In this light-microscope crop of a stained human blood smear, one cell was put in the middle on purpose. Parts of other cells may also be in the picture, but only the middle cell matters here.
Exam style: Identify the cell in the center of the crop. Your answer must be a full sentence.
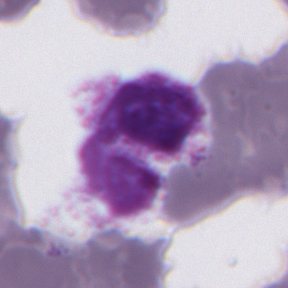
Looking at the middle of the crop, the cell there is a neutrophil.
